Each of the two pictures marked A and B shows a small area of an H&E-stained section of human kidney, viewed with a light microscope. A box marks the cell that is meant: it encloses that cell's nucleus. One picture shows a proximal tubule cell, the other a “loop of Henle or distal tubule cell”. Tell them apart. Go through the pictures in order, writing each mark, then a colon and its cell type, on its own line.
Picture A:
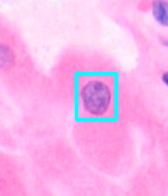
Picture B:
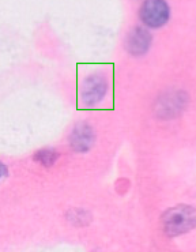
A: proximal tubule cell
B: loop of Henle or distal tubule cell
